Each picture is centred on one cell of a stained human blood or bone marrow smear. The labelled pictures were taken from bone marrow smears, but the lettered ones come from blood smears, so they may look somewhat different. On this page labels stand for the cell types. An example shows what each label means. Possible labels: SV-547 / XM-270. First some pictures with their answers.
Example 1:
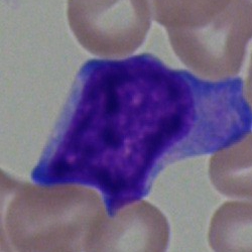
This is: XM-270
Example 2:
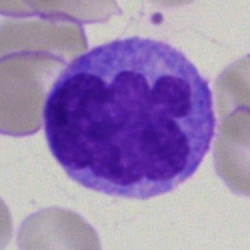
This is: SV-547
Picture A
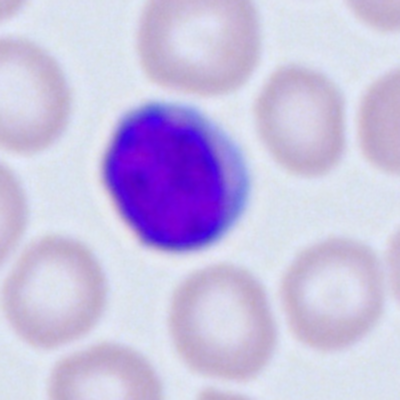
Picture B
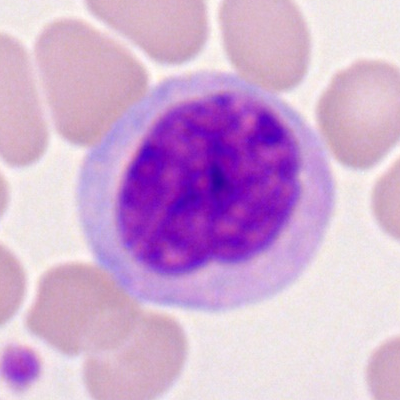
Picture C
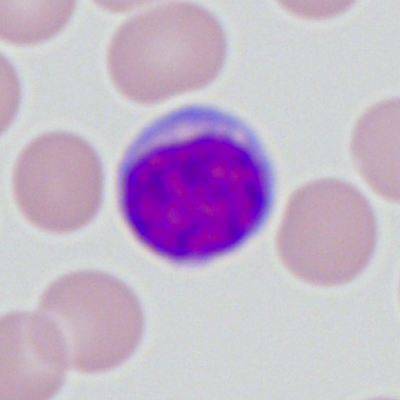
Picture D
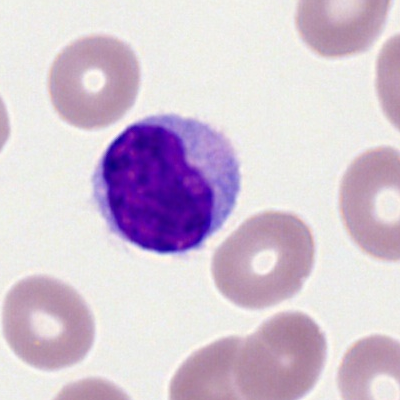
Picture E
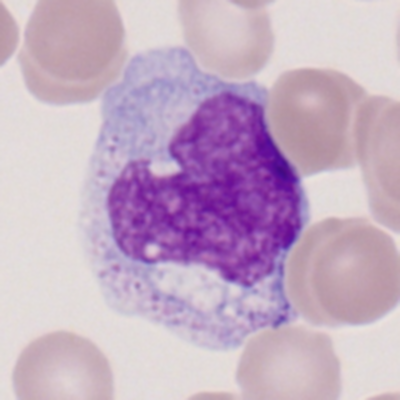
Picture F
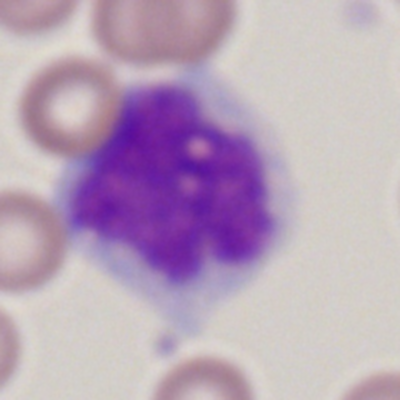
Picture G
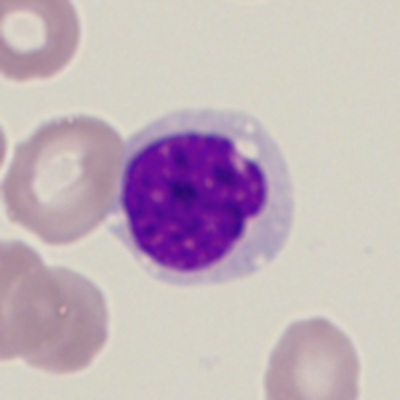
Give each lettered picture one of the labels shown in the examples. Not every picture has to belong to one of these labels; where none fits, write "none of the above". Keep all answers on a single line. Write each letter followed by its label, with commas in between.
A none of the above, B SV-547, C none of the above, D none of the above, E SV-547, F SV-547, G SV-547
